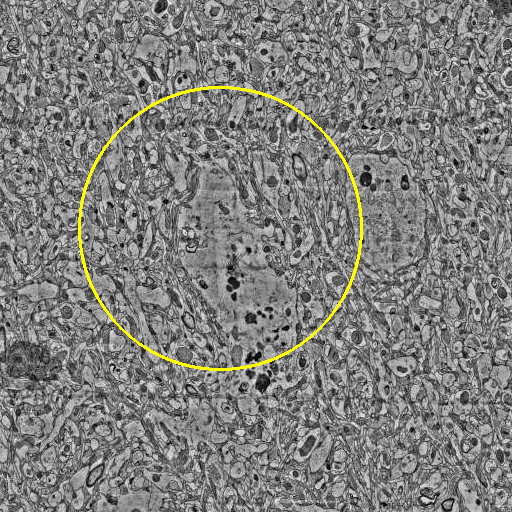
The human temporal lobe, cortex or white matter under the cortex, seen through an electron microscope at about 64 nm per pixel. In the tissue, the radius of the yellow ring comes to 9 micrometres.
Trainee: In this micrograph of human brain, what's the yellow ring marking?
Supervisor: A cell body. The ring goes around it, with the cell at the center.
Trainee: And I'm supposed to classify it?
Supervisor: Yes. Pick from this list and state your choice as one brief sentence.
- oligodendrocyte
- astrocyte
The cell at the ring's center is an astrocyte.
